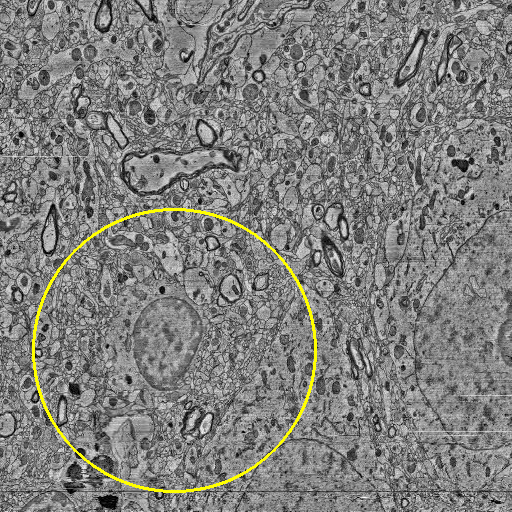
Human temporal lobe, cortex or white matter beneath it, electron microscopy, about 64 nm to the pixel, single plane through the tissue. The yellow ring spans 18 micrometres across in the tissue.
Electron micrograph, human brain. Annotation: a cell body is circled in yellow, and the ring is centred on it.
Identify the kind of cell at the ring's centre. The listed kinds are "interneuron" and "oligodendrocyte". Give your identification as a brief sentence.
The circled cell body is that of an oligodendrocyte.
